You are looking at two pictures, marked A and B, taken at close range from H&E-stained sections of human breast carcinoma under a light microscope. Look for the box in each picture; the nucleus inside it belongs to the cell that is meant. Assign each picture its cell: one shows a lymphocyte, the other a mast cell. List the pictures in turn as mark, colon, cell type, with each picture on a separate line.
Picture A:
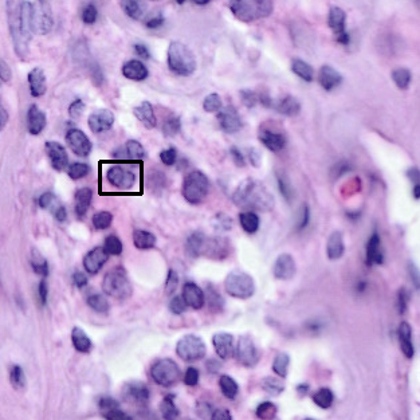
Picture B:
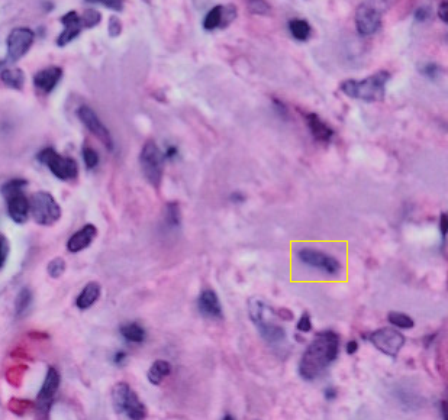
A: lymphocyte
B: mast cell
